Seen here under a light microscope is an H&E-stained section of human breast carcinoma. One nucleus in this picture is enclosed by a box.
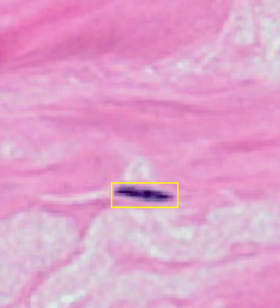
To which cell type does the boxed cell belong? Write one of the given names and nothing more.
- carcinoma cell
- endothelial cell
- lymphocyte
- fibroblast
fibroblast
